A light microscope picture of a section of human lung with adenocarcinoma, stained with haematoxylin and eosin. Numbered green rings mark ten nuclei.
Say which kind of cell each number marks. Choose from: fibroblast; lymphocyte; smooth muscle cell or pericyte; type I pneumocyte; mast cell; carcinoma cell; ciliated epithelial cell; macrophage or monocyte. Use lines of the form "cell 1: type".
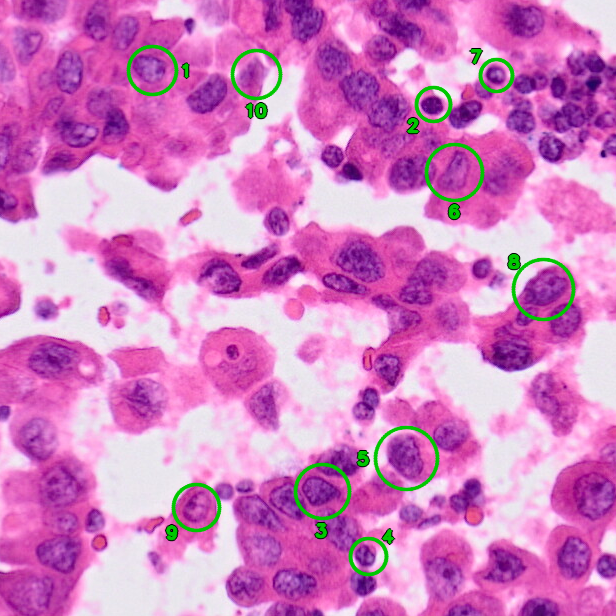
cell 1: carcinoma cell
cell 2: lymphocyte
cell 3: carcinoma cell
cell 4: lymphocyte
cell 5: carcinoma cell
cell 6: carcinoma cell
cell 7: lymphocyte
cell 8: carcinoma cell
cell 9: macrophage or monocyte
cell 10: carcinoma cell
